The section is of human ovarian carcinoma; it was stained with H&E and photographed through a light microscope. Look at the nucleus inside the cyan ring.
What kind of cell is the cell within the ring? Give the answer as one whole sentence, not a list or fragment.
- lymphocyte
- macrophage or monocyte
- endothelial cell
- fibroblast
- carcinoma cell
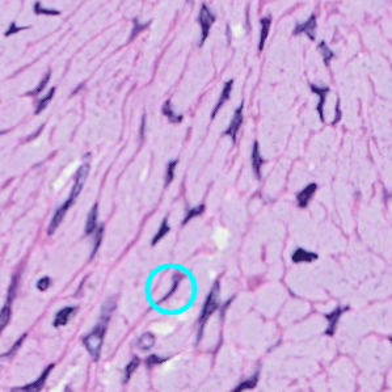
In the tissue at hand, the cell within the ring is a fibroblast.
